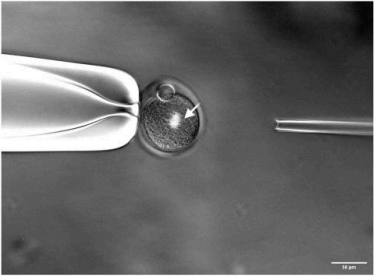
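Single round oocyte held against a wide holding pipette by suction, with a fine injection pipette approaching from the opposite side. The oocyte has a granular cytoplasm and is surrounded by a clear zona pellucida. A small polar body sits in the space beneath the zona at the upper edge.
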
